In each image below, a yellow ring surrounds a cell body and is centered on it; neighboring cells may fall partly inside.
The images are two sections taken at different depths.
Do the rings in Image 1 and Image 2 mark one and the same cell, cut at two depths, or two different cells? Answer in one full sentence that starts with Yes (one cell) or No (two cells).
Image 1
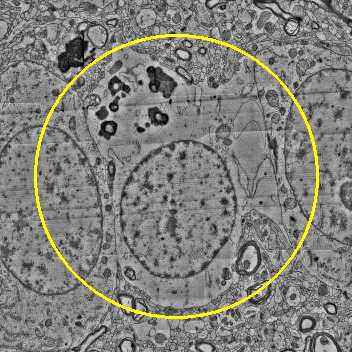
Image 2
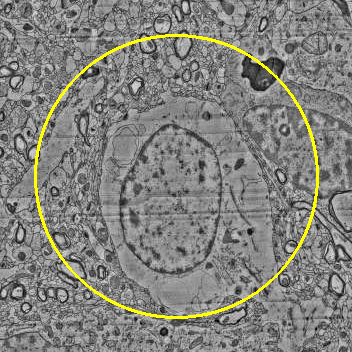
No, the pair of rings marks a pair of different cells.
